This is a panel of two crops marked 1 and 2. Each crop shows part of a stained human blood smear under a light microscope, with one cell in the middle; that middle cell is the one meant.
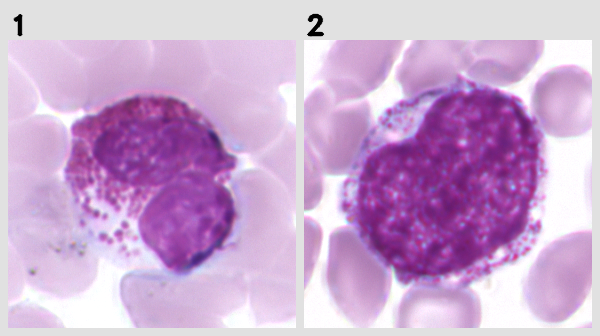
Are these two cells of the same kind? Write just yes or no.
no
